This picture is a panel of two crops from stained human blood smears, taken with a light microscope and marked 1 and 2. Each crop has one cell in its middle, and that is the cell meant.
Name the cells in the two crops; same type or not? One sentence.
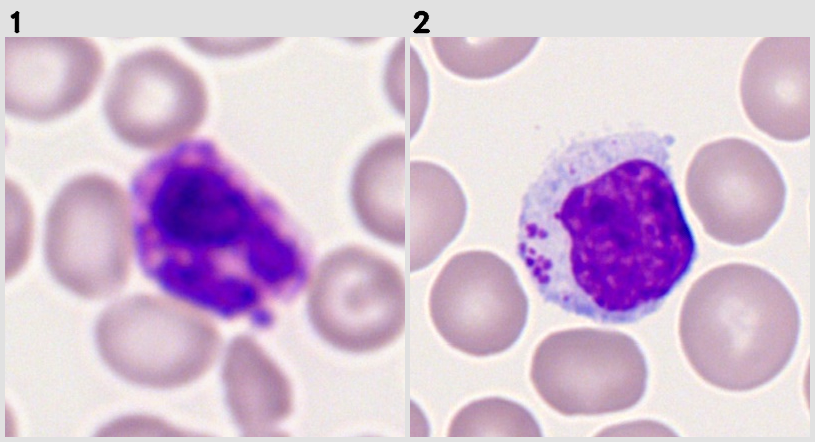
No, shown in crop 1 is a basophil, and shown in crop 2 is a lymphocyte.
